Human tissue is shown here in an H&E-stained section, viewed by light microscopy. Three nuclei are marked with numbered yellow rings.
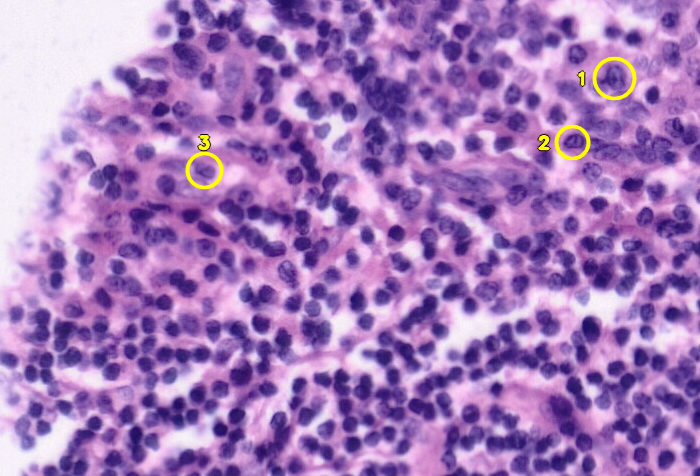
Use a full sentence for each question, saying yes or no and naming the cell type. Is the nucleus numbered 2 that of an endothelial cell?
No, cell 2, which is a plasma cell, is not an endothelial cell.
